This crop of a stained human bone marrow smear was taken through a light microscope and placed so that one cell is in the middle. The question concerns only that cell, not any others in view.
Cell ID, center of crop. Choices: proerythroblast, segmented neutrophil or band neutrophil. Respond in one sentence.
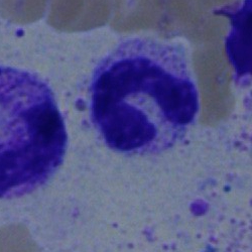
The cell under consideration, at the middle of the crop, is a band neutrophil.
